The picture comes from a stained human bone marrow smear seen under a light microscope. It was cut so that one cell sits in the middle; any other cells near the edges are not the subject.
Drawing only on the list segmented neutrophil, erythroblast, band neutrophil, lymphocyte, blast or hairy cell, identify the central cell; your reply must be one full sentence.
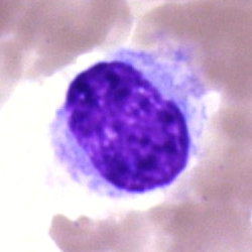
In the central position of this crop, the cell is a hairy cell.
